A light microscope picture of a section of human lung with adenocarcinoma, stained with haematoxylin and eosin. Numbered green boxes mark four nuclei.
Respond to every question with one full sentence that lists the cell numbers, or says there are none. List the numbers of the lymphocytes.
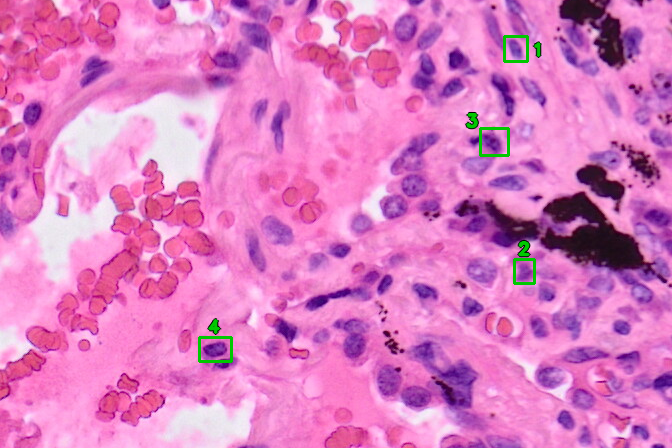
The cell labelled 1 is a lymphocyte, while the remaining numbered cells are not.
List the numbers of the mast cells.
Across all the numbered cells, only number 4 is a mast cell.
